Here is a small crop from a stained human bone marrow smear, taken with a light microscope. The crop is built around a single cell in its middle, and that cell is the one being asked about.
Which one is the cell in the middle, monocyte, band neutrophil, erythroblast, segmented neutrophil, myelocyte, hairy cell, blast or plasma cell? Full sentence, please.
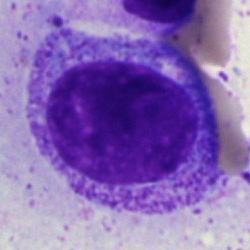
Standing at the centre of this crop is a myelocyte.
